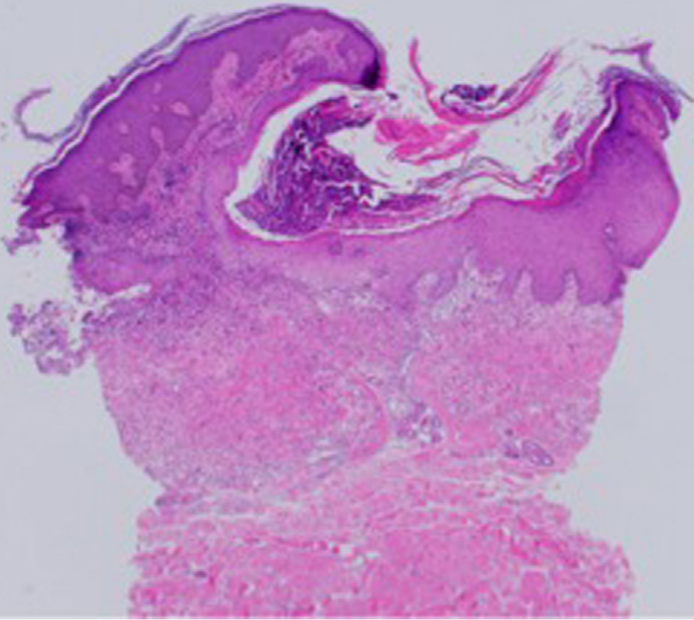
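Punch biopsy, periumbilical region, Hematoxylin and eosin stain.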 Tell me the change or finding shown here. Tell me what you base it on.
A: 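The purple surface epithelial layer is markedly thickened. Elongated rete ridges extend downward into the pink tissue below.
Hyperplastic epidermis.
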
